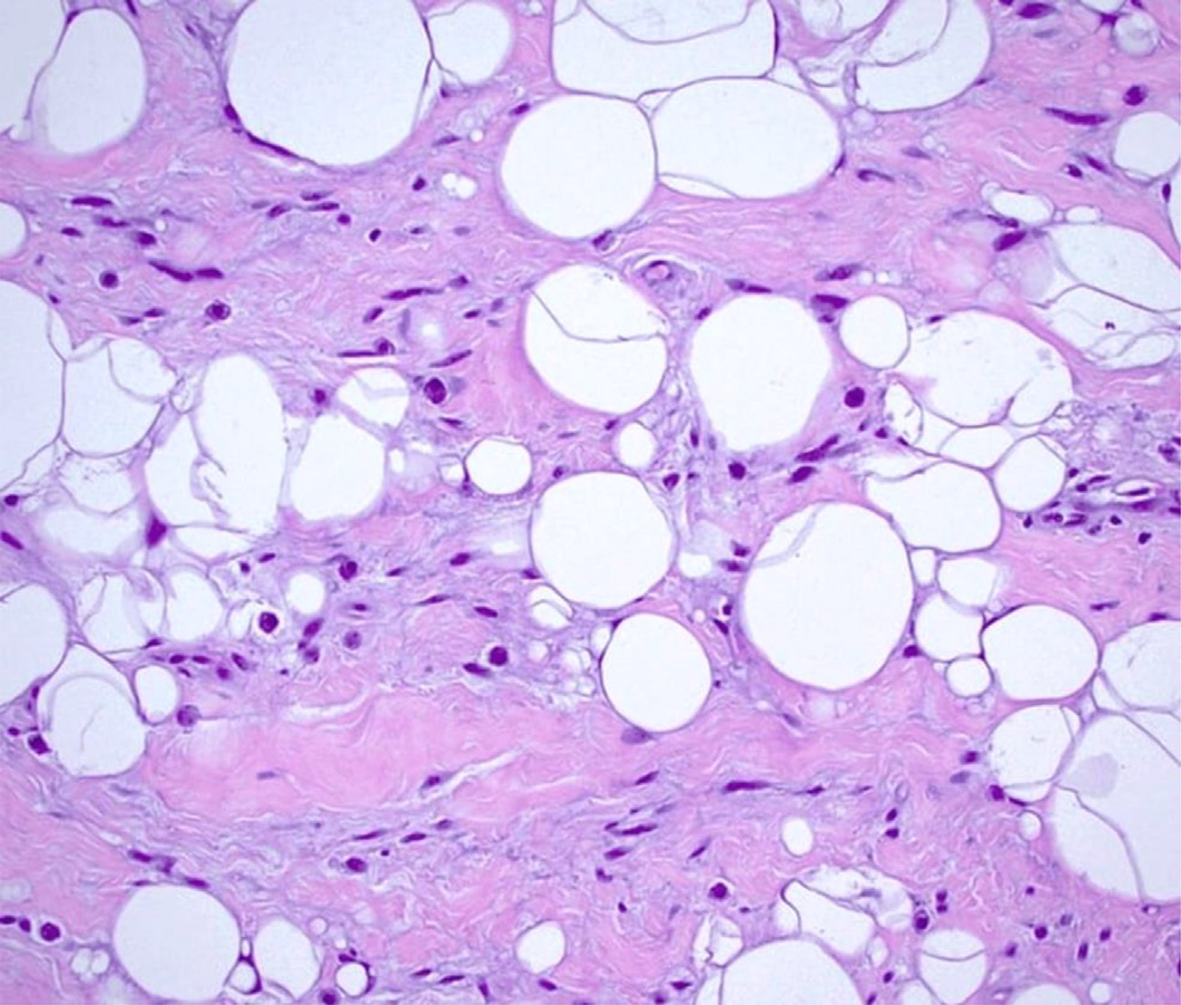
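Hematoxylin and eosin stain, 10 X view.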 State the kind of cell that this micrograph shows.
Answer: Mature adipocytes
